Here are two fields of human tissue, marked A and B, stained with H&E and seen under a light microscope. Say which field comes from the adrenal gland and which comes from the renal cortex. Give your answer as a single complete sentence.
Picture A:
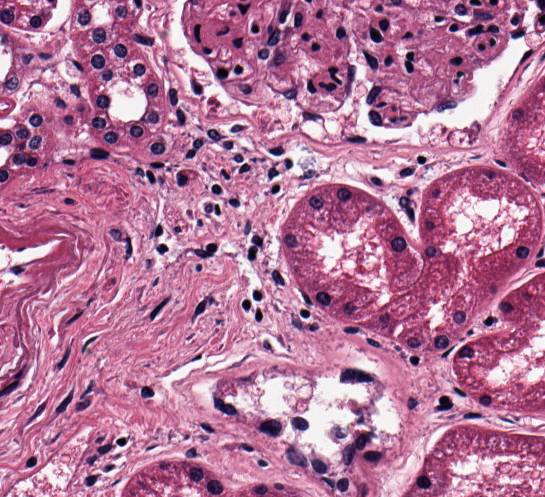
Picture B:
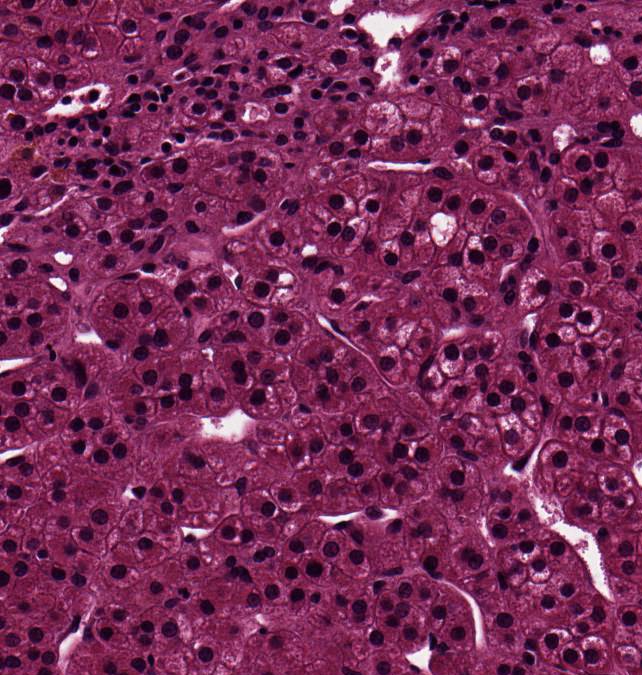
It is picture A that comes from the renal cortex, and picture B that comes from the adrenal gland.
